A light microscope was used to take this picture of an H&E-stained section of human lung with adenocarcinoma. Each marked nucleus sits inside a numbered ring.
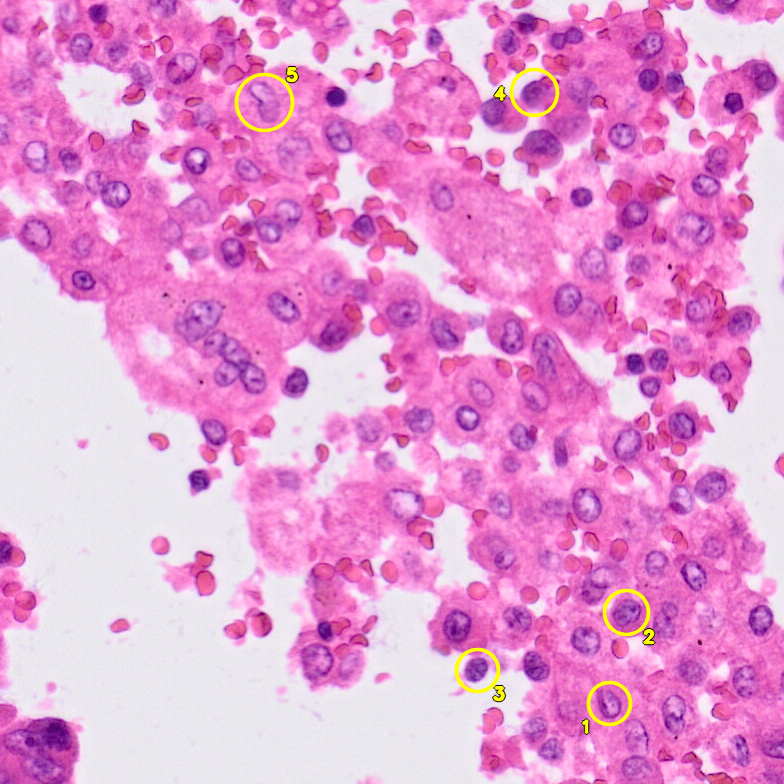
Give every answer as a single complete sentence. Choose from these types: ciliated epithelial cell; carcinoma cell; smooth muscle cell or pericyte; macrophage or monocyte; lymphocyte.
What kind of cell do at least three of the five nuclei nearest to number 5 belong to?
Around number 5, most of the five nearest nuclei are those of macrophages or monocytes.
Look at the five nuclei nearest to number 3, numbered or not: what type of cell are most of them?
Around number 3, most of the five nearest nuclei are those of macrophages or monocytes.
